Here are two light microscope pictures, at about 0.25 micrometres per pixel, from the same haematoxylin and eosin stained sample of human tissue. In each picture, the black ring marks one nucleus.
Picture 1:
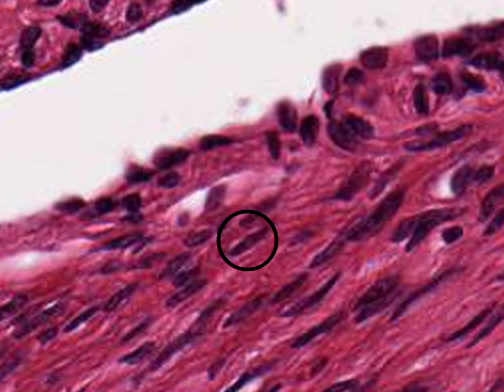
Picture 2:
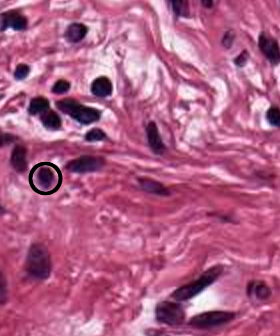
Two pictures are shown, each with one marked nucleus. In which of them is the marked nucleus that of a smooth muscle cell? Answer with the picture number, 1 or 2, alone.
1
